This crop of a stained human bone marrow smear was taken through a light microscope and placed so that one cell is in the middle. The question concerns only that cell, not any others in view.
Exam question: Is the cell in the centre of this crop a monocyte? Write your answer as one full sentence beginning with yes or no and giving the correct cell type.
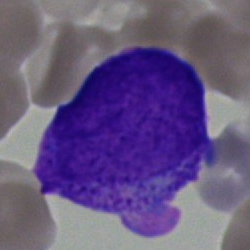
No, the cell centered in the crop is a blast, not a monocyte.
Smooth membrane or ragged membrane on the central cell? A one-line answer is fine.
Ragged or projecting, the border of this cell departs from a smooth contour.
